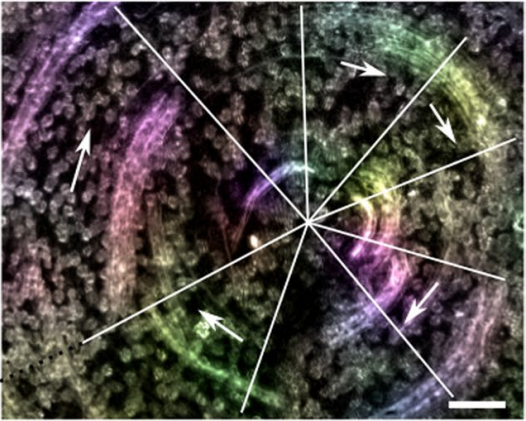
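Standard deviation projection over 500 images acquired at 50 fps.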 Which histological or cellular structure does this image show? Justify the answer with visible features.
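Tufts of cilia. Many small rounded bright spots of similar size are scattered densely across the field. The spots lie in a dark background with gaps between them.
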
